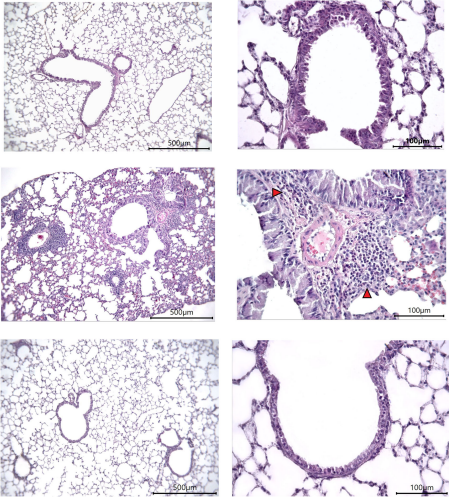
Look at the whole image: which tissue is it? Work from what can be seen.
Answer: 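Lacy network of thin-walled air spaces fills the sections. Round airways lined by a continuous epithelium lie among the air spaces. Blood vessels sit beside the airways. So: lung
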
